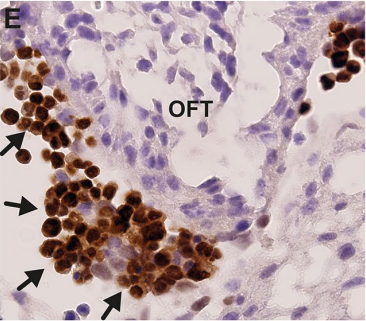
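The cells are small and round, with dark brown nuclei and scant cytoplasm, and they form large, densely packed clusters. Beside them the wall cells have elongated, pale blue nuclei and are unstained, and the open lumen lies above.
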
